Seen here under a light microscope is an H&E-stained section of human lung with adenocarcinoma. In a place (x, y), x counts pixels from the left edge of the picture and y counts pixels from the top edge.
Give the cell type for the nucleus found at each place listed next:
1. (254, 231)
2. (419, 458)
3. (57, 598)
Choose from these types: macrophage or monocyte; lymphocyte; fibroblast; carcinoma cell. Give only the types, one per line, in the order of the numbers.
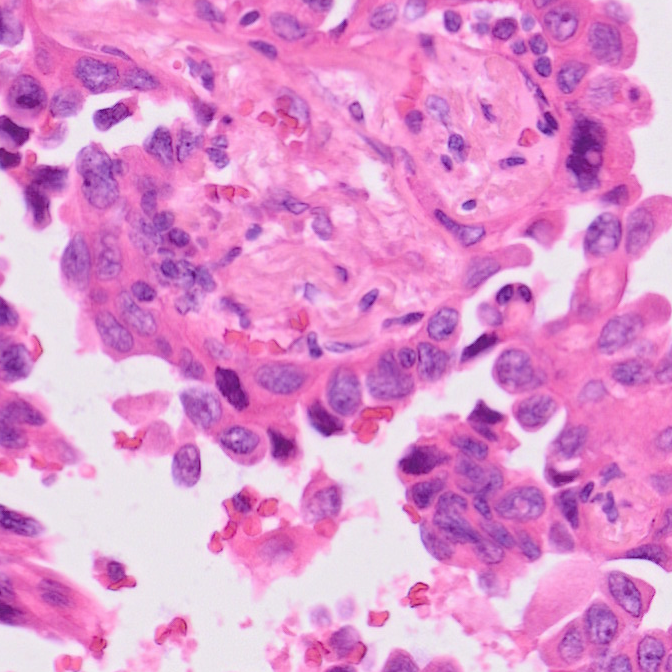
lymphocyte
carcinoma cell
carcinoma cell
